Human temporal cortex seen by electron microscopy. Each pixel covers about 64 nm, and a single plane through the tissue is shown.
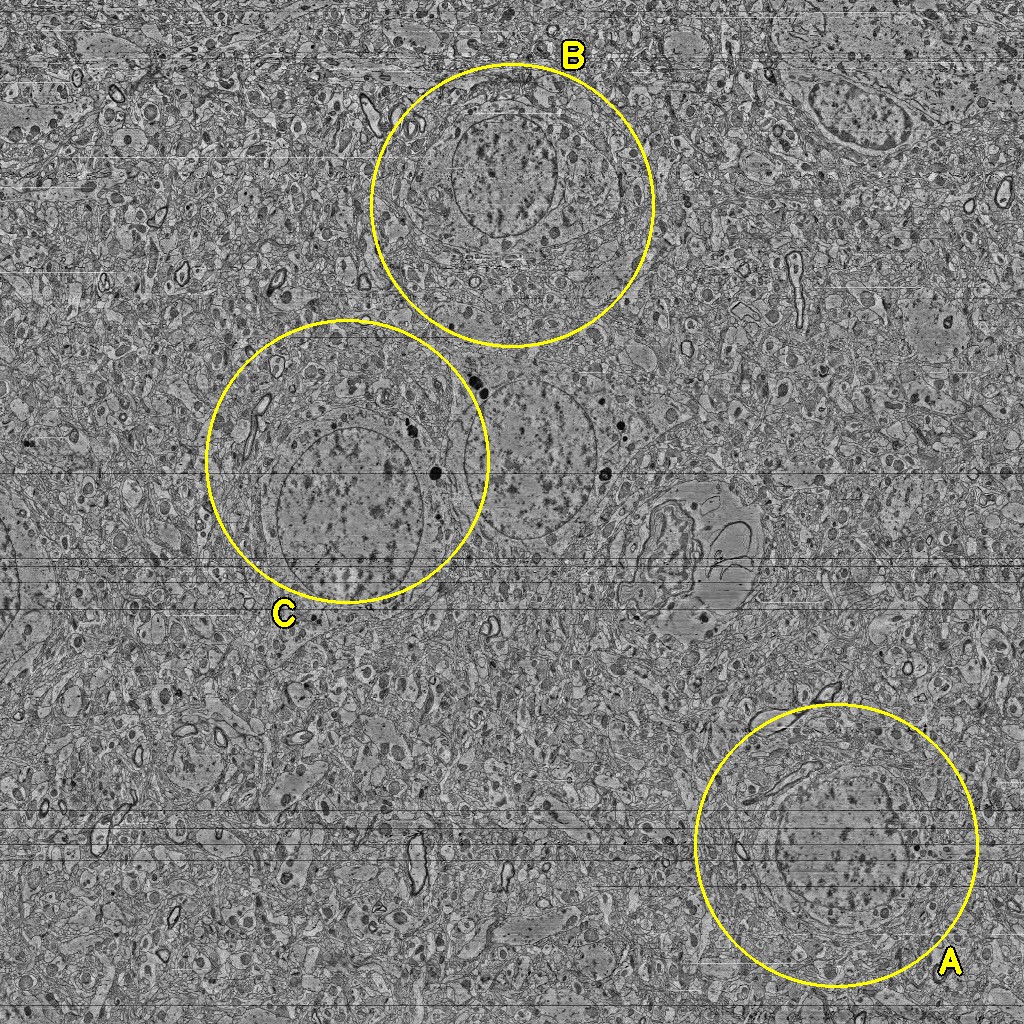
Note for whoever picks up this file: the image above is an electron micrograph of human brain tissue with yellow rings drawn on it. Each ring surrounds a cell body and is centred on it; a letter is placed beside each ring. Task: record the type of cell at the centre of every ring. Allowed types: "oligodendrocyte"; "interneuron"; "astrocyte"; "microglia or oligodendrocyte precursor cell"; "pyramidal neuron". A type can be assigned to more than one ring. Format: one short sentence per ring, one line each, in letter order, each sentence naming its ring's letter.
The ring marked A is centred on an interneuron.
The ring marked B is centred on a pyramidal neuron.
The ring marked C is centred on a pyramidal neuron.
